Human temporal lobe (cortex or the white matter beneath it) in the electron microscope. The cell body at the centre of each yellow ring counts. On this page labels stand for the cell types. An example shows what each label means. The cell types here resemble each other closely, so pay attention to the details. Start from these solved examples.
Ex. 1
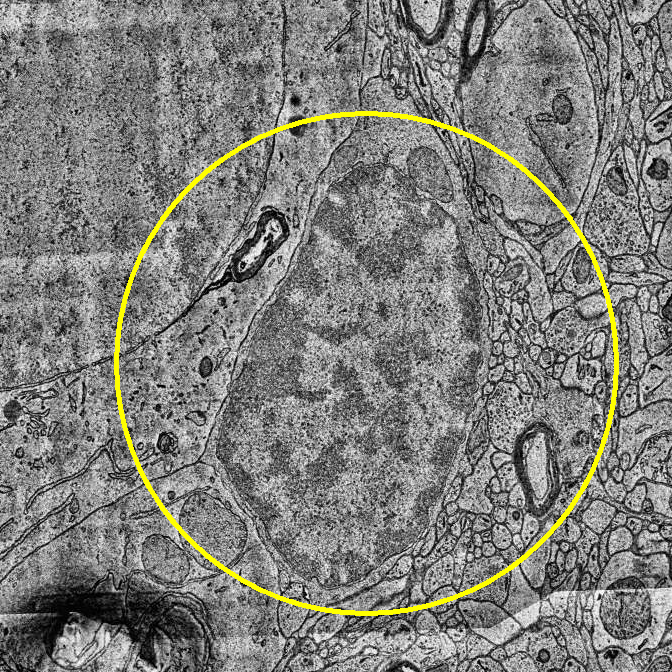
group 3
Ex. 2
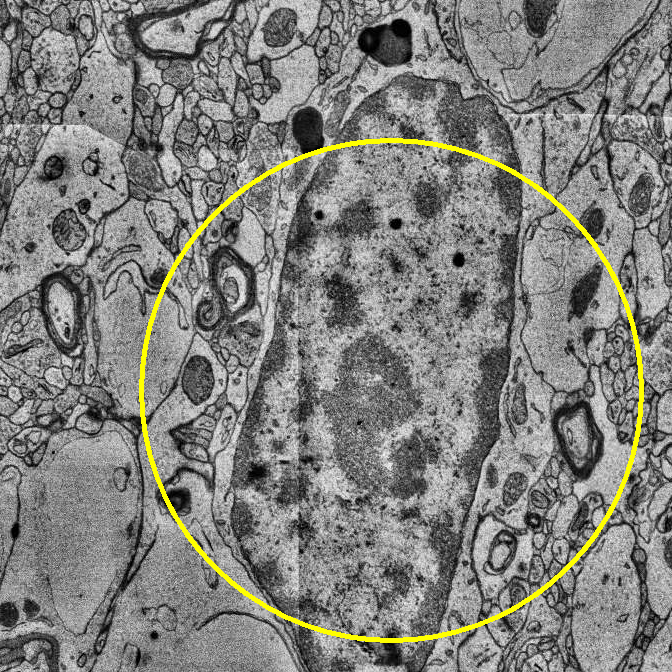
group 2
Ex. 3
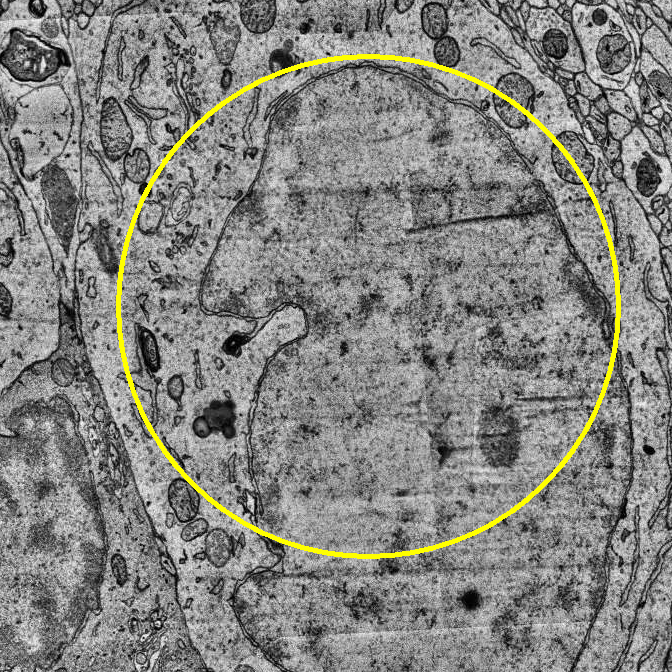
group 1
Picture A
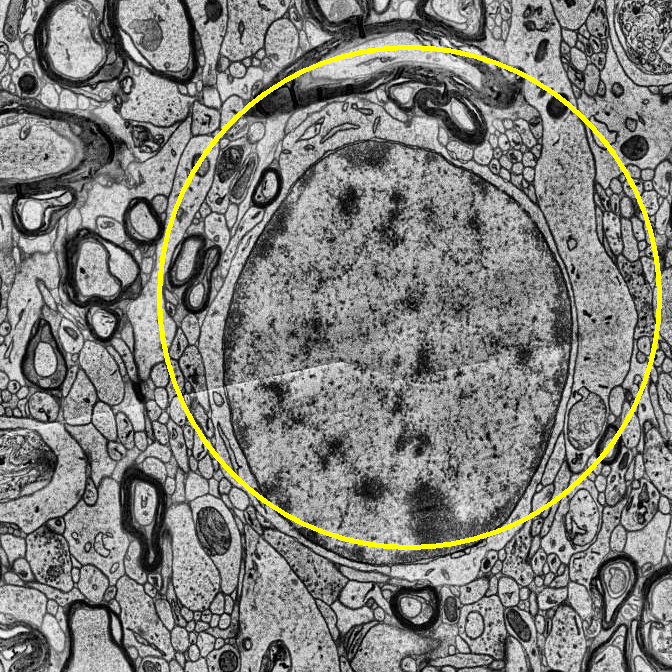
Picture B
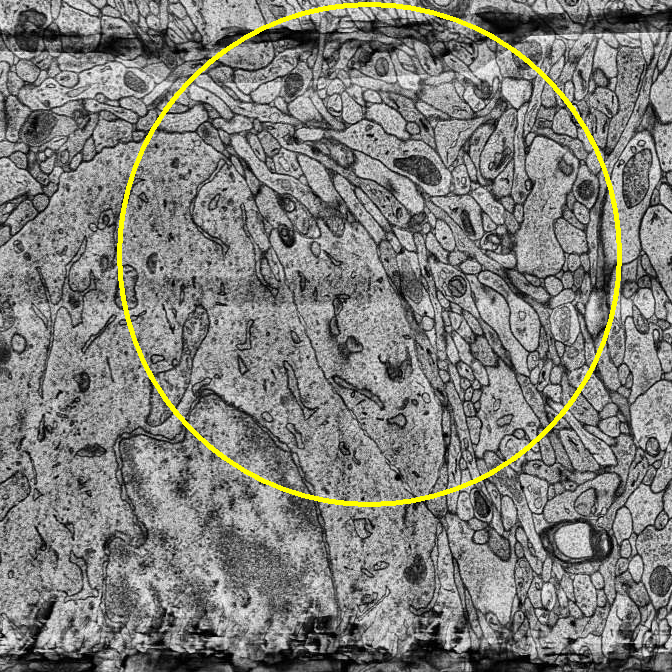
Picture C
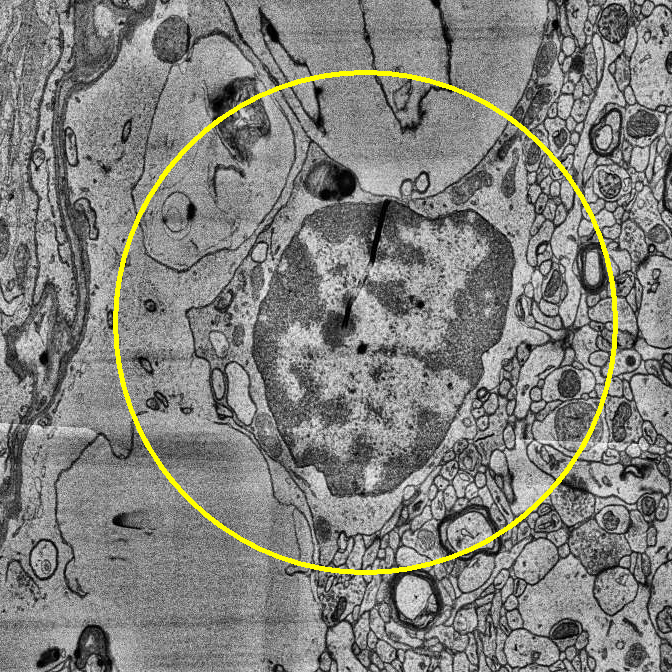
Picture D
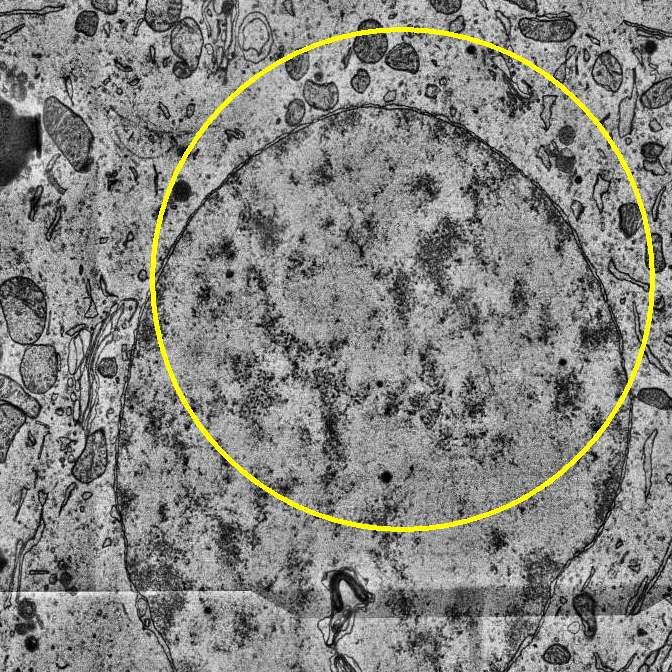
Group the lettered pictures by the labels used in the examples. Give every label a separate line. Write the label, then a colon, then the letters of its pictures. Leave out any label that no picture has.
group 2: A, B, C
group 1: D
